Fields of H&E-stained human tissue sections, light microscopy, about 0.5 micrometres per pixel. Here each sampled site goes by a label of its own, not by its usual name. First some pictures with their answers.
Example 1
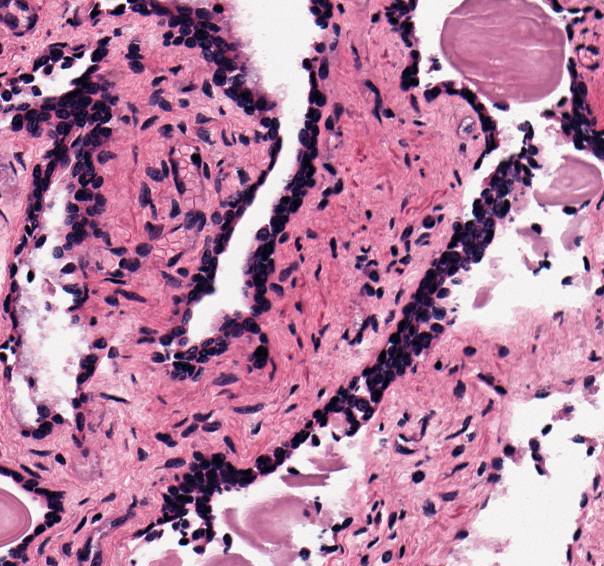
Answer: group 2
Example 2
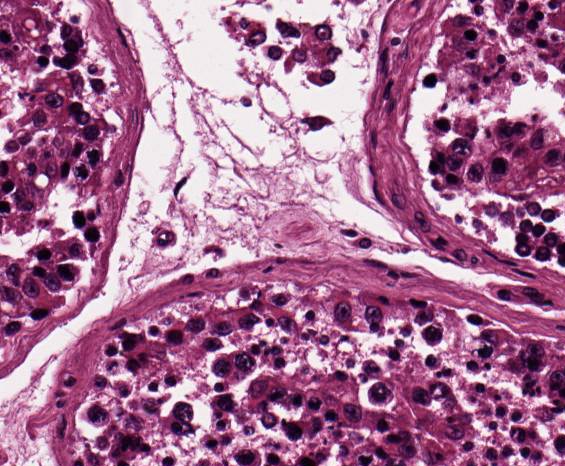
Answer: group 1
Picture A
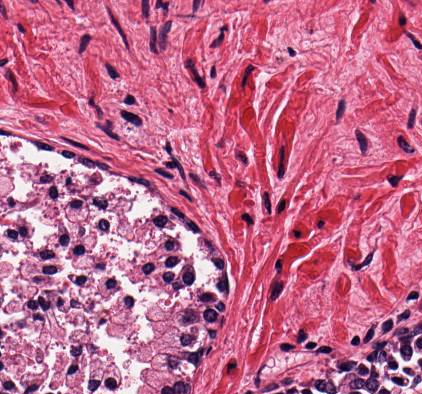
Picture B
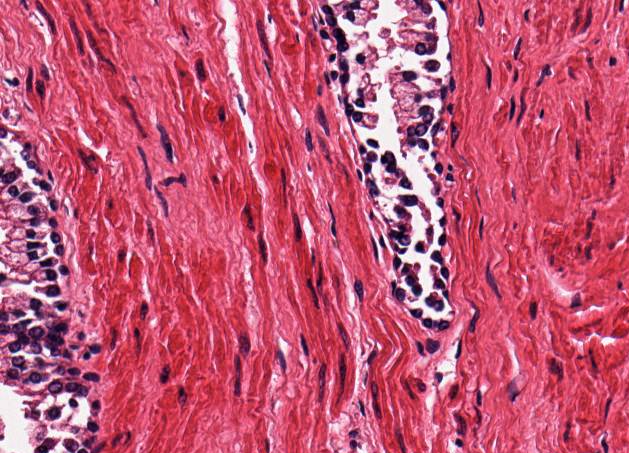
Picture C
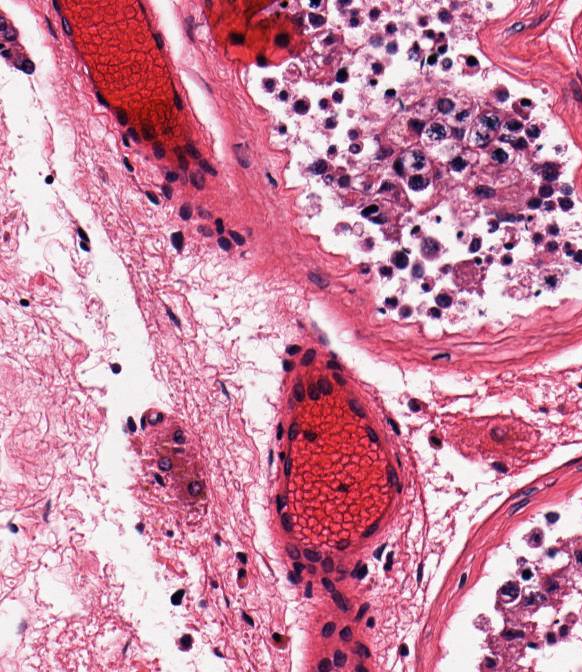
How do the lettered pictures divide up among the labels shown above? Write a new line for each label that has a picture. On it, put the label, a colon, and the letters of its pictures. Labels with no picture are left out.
group 2: A, B
group 1: C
